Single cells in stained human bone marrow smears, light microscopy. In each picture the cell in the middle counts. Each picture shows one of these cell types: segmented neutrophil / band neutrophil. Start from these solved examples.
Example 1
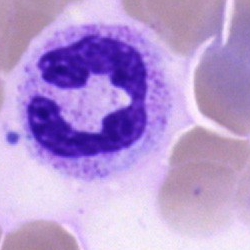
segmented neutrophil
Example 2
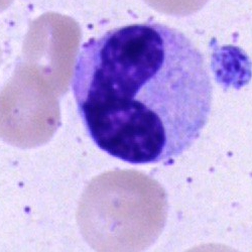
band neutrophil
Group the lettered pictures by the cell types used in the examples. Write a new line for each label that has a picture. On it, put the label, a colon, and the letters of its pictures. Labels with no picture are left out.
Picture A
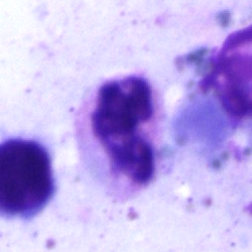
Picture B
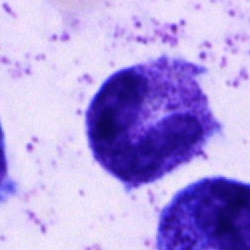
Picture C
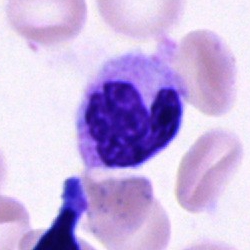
segmented neutrophil: A, C
band neutrophil: B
